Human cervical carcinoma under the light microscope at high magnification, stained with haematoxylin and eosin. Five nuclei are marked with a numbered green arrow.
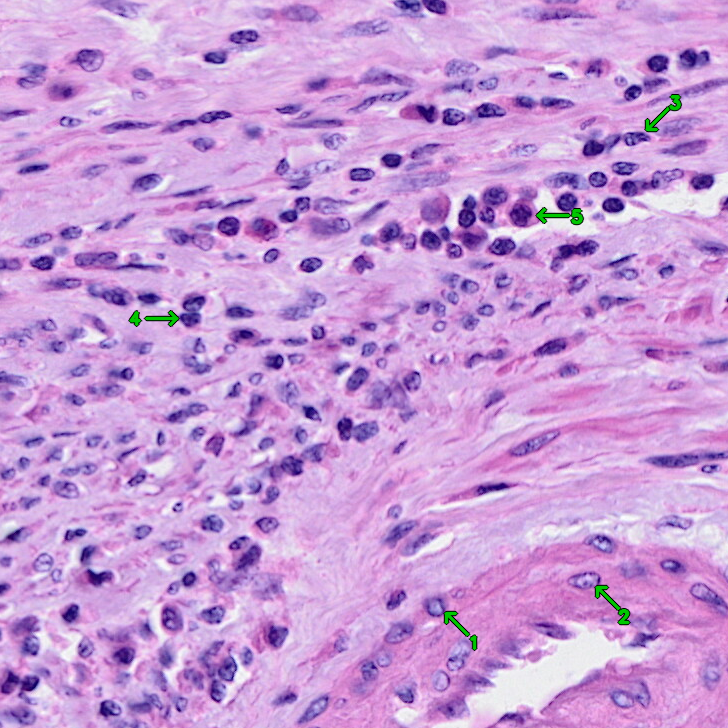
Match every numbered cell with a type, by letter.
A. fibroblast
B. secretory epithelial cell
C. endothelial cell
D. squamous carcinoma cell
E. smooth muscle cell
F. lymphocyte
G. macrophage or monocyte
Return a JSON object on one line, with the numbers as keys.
{"1": "E", "2": "E", "3": "F", "4": "F", "5": "F"}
